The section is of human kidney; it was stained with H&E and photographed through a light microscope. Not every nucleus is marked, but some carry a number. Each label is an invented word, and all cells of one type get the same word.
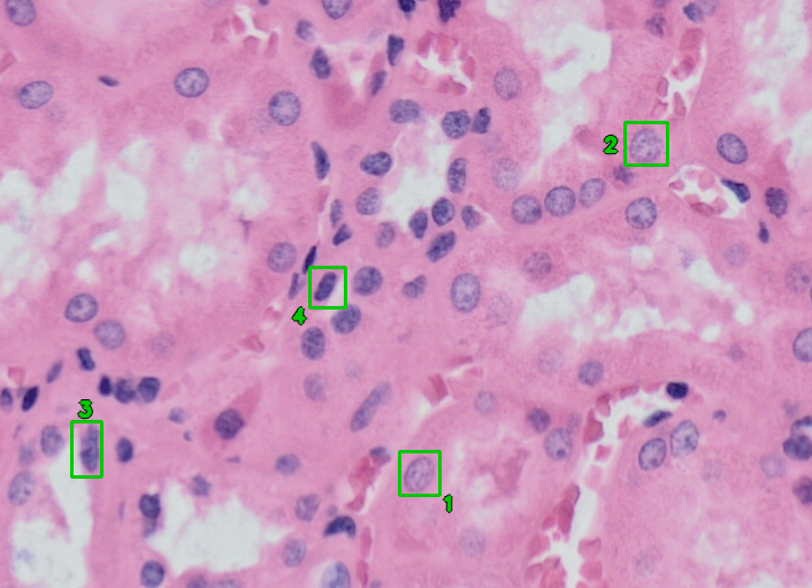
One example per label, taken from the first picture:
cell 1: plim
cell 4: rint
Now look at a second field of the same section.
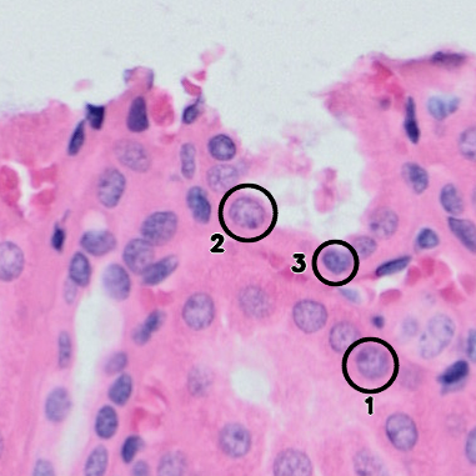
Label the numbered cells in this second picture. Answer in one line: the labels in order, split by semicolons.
plim; rint; rint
